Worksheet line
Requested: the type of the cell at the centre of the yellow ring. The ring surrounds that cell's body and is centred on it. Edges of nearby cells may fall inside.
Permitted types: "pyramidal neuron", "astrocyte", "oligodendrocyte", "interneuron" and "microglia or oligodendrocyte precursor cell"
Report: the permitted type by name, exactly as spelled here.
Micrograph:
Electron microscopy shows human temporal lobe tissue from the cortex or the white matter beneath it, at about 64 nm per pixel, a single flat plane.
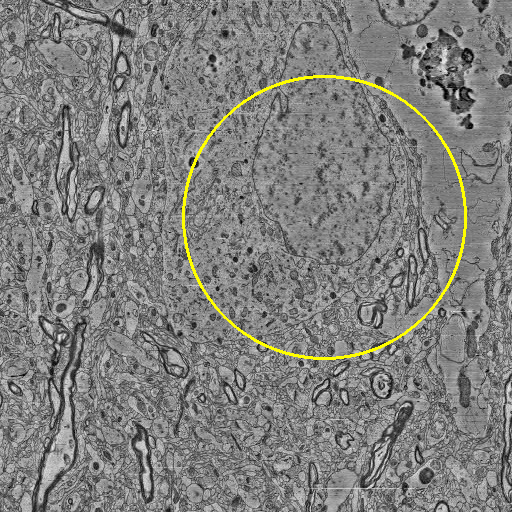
pyramidal neuron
